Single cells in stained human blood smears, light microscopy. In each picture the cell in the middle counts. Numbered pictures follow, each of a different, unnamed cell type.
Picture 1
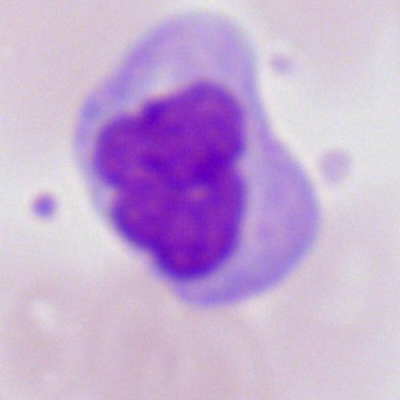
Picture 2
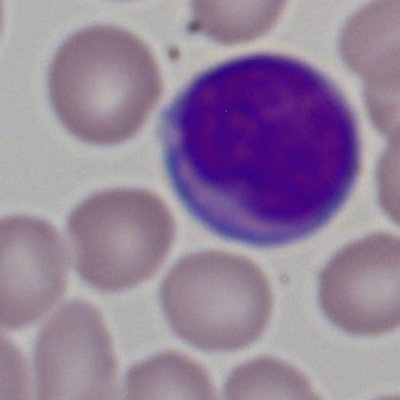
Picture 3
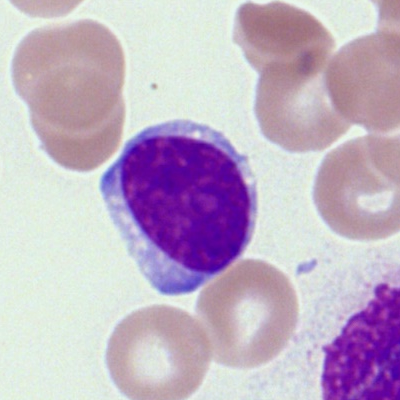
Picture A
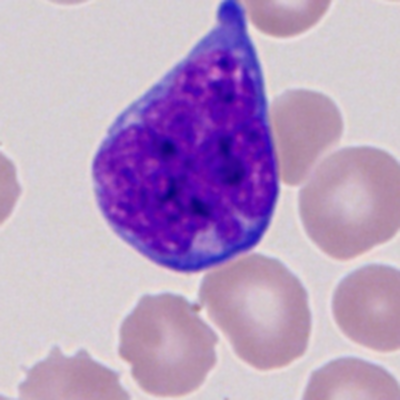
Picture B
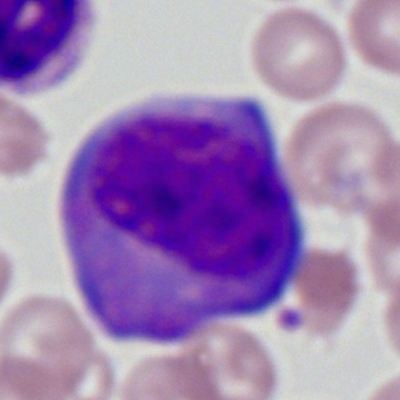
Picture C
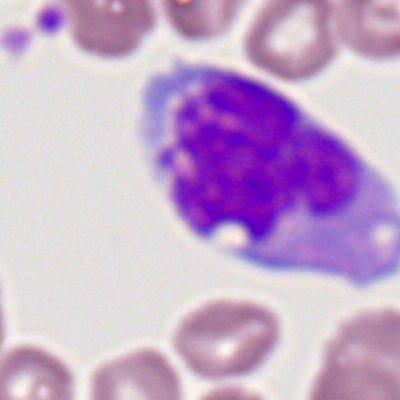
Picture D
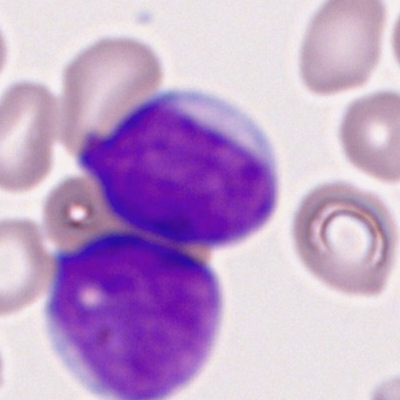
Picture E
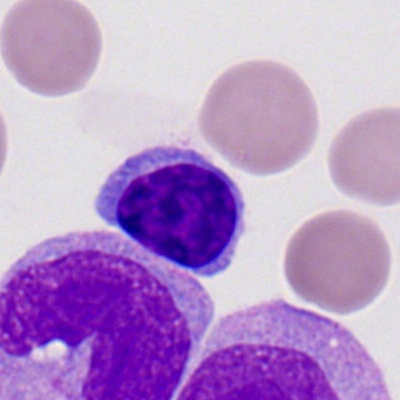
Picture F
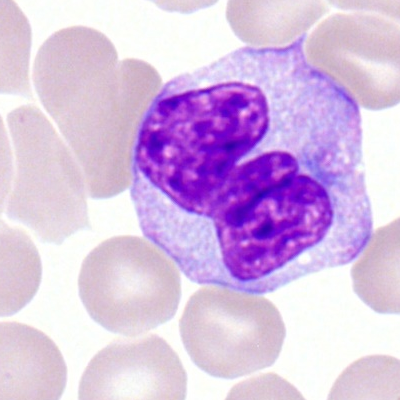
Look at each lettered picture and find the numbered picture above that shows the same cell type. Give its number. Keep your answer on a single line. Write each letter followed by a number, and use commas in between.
A 2, B 2, C 1, D 2, E 3, F 1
